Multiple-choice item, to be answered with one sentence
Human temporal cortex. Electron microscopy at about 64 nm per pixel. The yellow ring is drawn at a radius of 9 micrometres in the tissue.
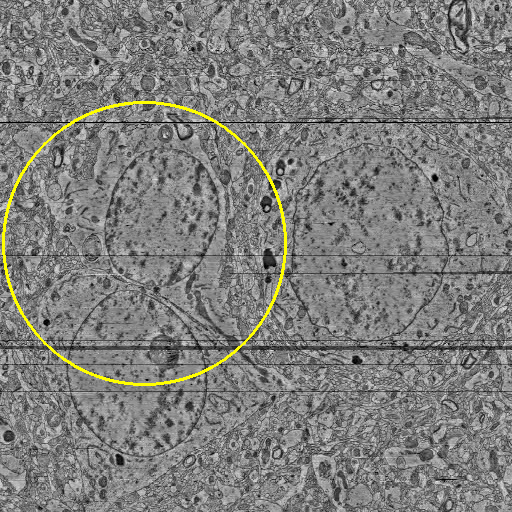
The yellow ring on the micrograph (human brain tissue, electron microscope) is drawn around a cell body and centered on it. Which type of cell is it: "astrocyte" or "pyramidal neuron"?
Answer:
The ring is centered on an astrocyte.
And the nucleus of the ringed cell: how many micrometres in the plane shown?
About 9 by 7 micrometres in this plane.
